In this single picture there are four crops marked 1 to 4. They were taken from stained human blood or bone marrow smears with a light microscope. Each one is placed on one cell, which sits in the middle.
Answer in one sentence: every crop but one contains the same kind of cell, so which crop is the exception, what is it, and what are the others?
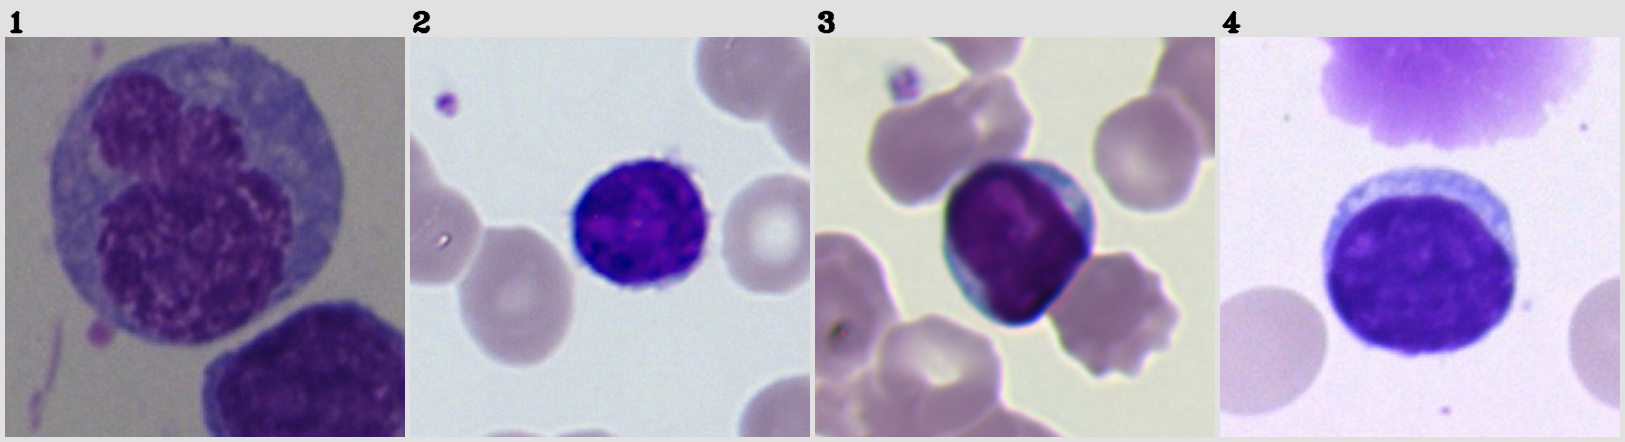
Crop 1 shows a monocyte, while all of the others show lymphocytes.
